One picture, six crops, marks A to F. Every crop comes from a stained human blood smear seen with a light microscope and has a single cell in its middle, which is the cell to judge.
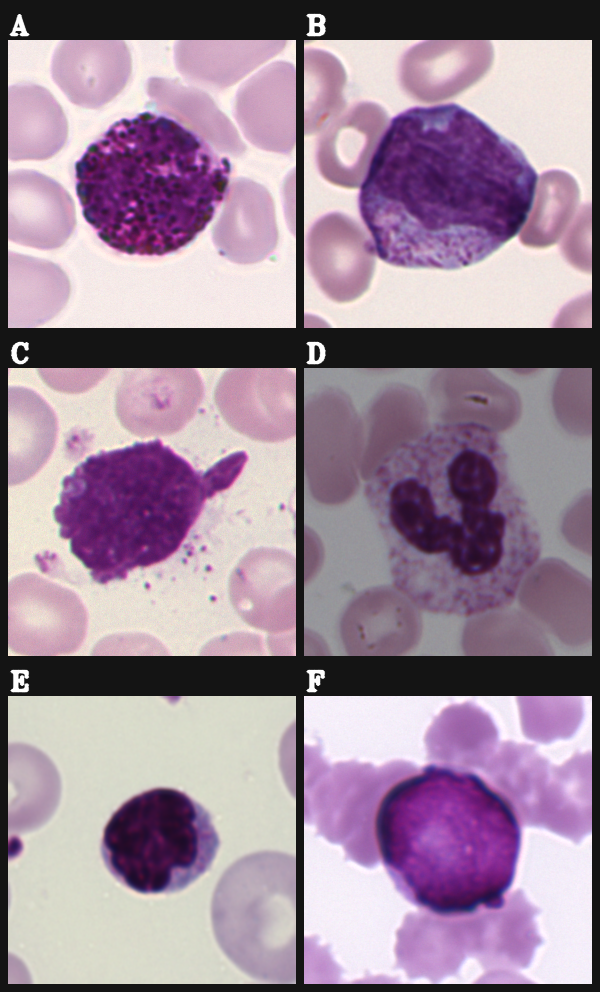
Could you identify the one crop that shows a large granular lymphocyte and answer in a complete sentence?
On review of the set, crop E is the one showing a large granular lymphocyte.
